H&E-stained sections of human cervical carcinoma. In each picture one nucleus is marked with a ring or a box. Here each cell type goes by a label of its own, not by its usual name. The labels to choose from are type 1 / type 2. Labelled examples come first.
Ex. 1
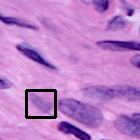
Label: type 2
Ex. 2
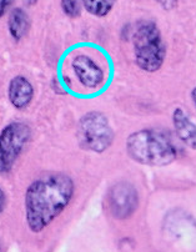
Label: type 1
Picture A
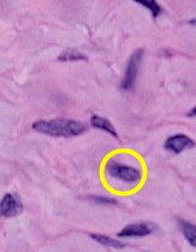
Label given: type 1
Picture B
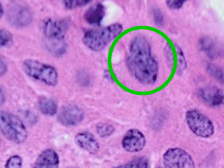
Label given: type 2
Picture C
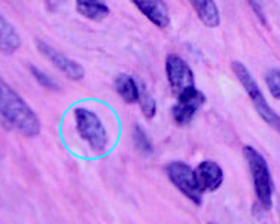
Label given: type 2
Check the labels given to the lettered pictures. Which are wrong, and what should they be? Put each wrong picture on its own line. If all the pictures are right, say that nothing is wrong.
Wrong: A (type 1); correct: type 2
Wrong: B (type 2); correct: type 1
